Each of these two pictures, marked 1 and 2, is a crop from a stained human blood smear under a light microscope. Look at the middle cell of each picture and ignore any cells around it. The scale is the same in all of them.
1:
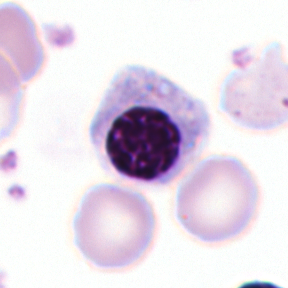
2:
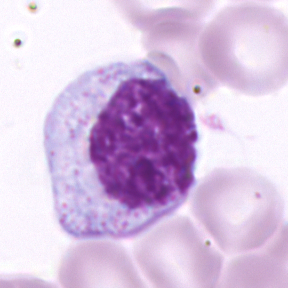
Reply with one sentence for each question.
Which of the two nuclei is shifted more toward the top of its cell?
The nucleus in crop 2 lies further toward the top of its cell.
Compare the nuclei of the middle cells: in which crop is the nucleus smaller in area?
The nucleus in crop 1 is smaller; the one in crop 2 has about 2.5 times its area.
